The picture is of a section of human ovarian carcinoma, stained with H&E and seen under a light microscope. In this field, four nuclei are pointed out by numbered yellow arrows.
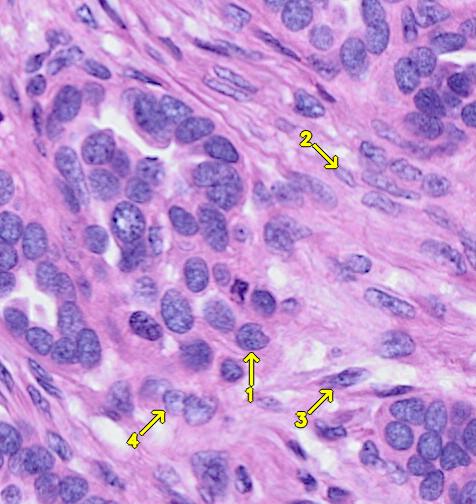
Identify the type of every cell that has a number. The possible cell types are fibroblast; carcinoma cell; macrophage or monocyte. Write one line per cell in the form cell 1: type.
cell 1: carcinoma cell
cell 2: fibroblast
cell 3: fibroblast
cell 4: fibroblast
